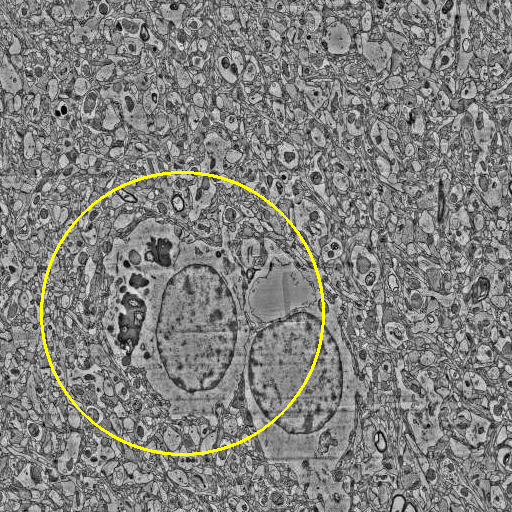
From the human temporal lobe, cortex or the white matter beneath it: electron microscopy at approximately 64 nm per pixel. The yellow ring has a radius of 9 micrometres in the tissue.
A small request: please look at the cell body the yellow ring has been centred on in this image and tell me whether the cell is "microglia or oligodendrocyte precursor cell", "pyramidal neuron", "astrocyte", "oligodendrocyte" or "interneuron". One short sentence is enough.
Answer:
The cell marked by the ring is an astrocyte.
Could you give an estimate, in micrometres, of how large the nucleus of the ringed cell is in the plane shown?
Roughly 8 by 5 micrometres; in this plane, clearly longer than it is wide.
